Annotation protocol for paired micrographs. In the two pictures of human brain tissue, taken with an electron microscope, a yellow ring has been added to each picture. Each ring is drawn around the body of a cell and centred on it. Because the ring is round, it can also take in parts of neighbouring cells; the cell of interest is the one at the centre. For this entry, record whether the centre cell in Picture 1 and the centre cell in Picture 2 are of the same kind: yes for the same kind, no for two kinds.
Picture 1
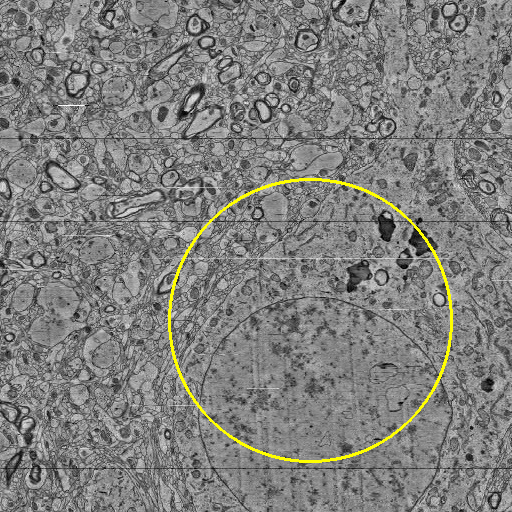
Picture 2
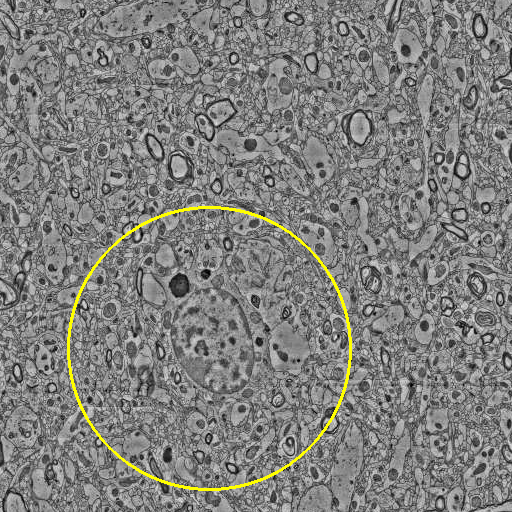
no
